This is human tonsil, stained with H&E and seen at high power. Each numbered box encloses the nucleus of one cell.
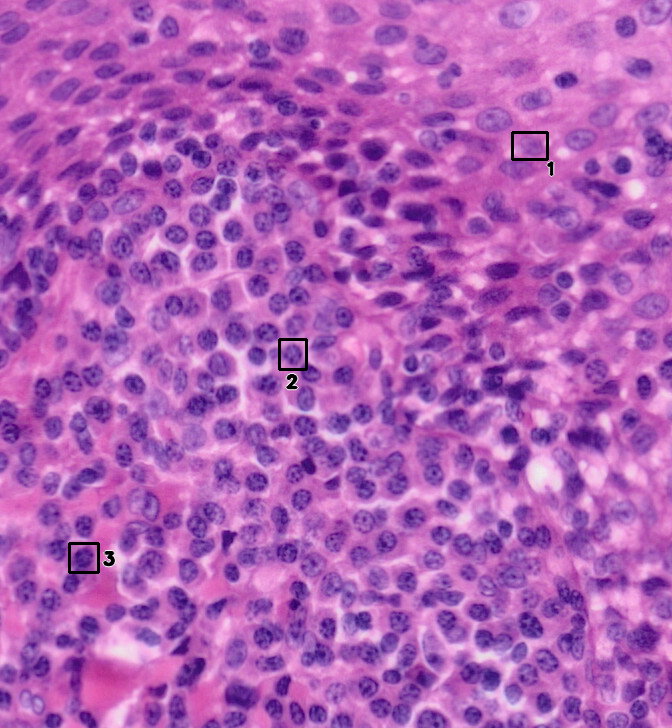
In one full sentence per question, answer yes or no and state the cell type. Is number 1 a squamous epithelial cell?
Yes, as for number 1, the cell is a squamous epithelial cell.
